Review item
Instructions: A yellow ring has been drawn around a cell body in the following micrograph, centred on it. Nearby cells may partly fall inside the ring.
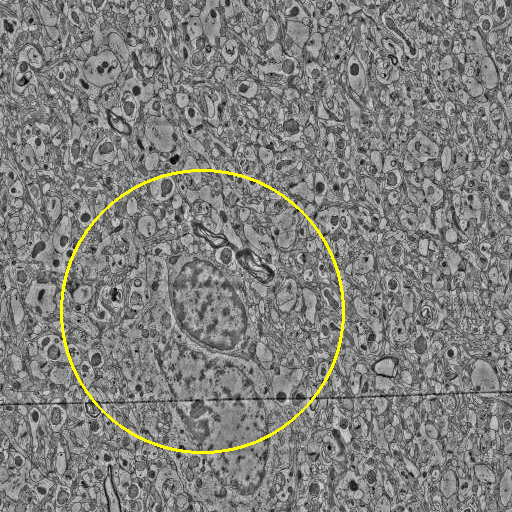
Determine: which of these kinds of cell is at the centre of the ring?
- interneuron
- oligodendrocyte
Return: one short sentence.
The cell body in the middle of the ring is that of an oligodendrocyte.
